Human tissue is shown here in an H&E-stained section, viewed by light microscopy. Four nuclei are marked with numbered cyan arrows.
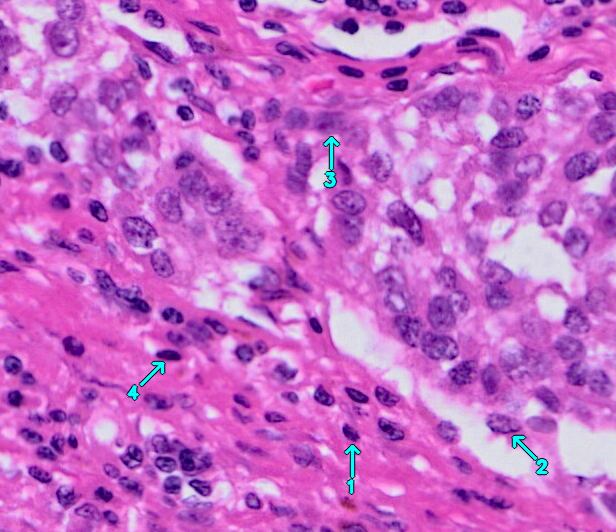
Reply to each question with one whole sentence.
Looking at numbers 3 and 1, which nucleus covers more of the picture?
It is nucleus 3, which covers about 4 times the area of nucleus 1.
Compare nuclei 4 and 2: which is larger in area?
The larger nucleus is 2, at roughly 2.5 times the area of 4.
